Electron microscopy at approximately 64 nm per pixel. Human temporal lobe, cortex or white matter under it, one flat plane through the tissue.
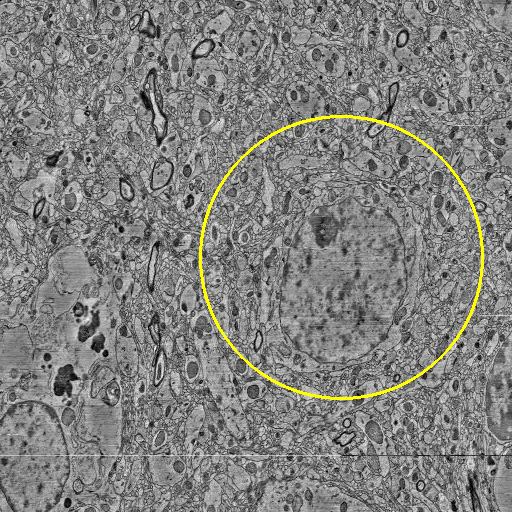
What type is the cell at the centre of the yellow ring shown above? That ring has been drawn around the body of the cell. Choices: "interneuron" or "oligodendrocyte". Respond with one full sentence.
My answer is that an interneuron lies at the centre of the yellow ring above.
